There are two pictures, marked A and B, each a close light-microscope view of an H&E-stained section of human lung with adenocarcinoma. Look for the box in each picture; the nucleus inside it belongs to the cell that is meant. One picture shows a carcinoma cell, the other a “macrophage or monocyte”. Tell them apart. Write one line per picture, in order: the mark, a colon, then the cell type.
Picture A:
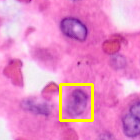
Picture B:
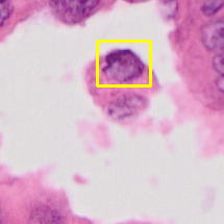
A: macrophage or monocyte
B: carcinoma cell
